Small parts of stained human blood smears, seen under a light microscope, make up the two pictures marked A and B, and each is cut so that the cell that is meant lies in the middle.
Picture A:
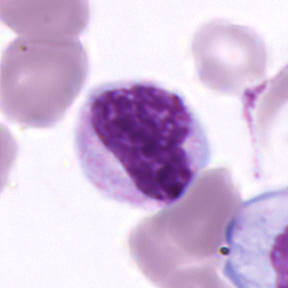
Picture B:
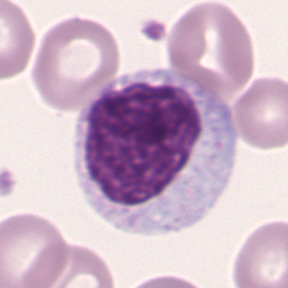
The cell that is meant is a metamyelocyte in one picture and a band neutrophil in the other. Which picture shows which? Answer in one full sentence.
In picture A the cell is a band neutrophil; in picture B, a metamyelocyte.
